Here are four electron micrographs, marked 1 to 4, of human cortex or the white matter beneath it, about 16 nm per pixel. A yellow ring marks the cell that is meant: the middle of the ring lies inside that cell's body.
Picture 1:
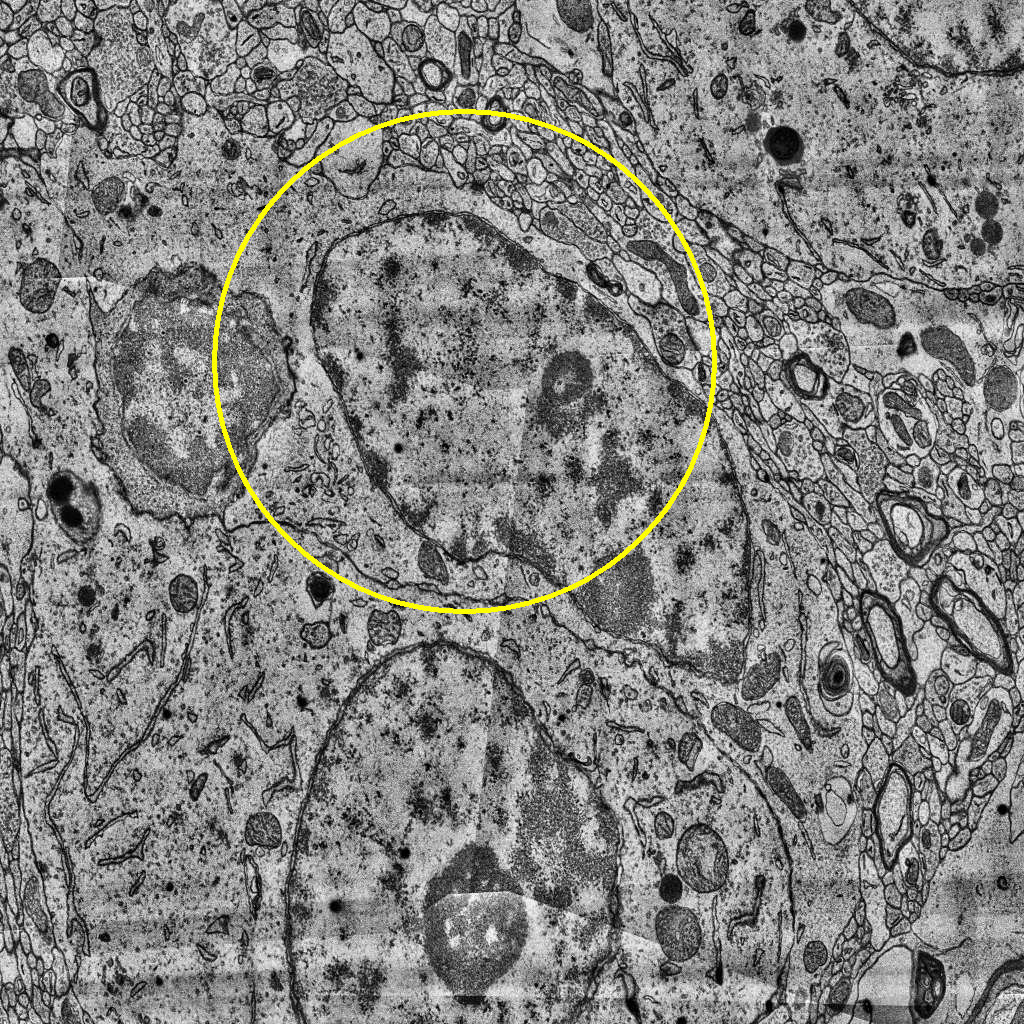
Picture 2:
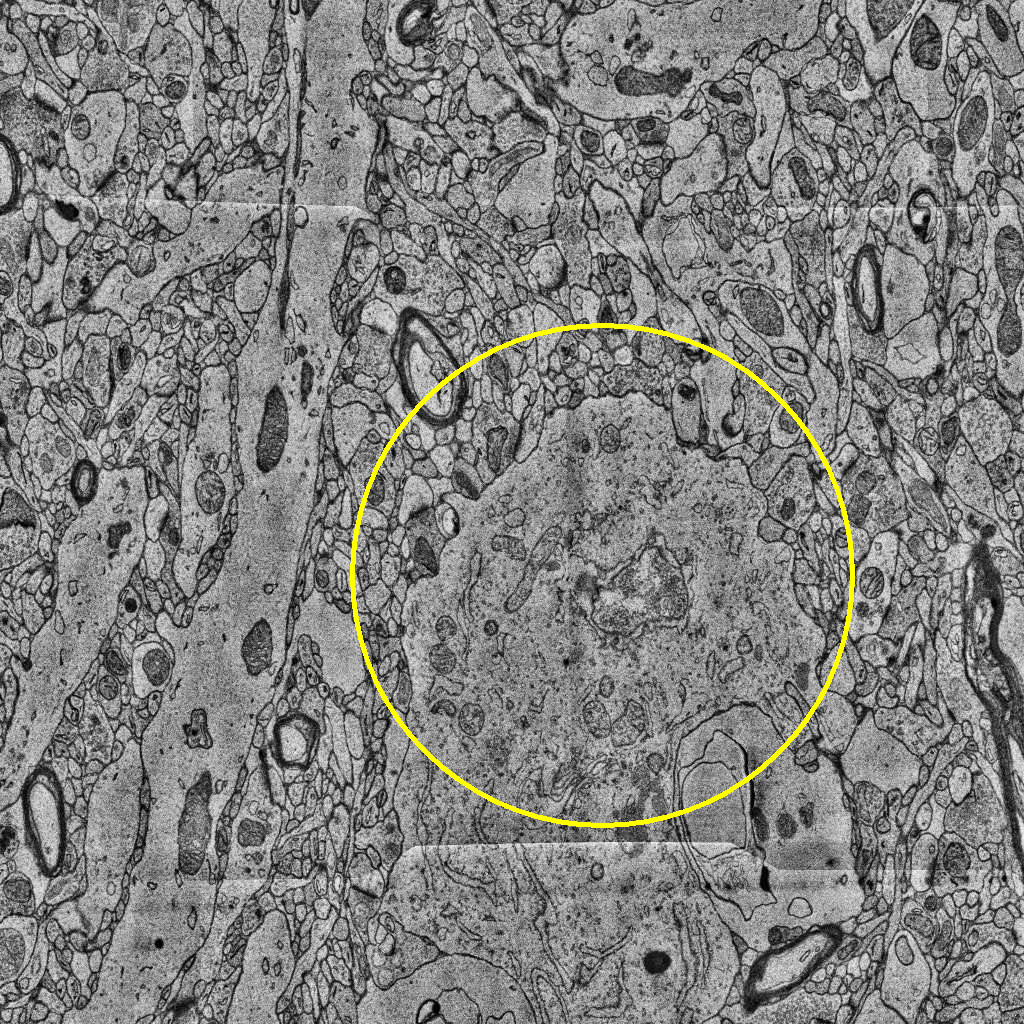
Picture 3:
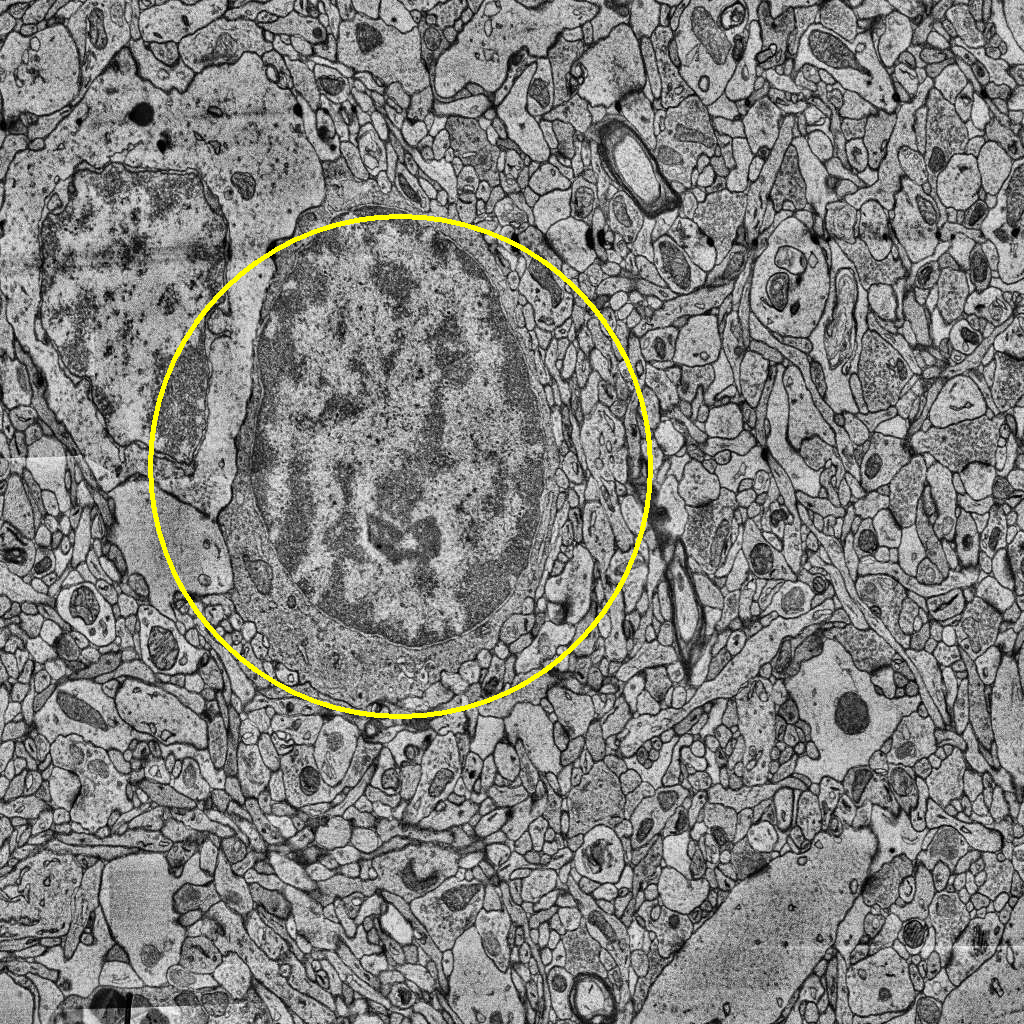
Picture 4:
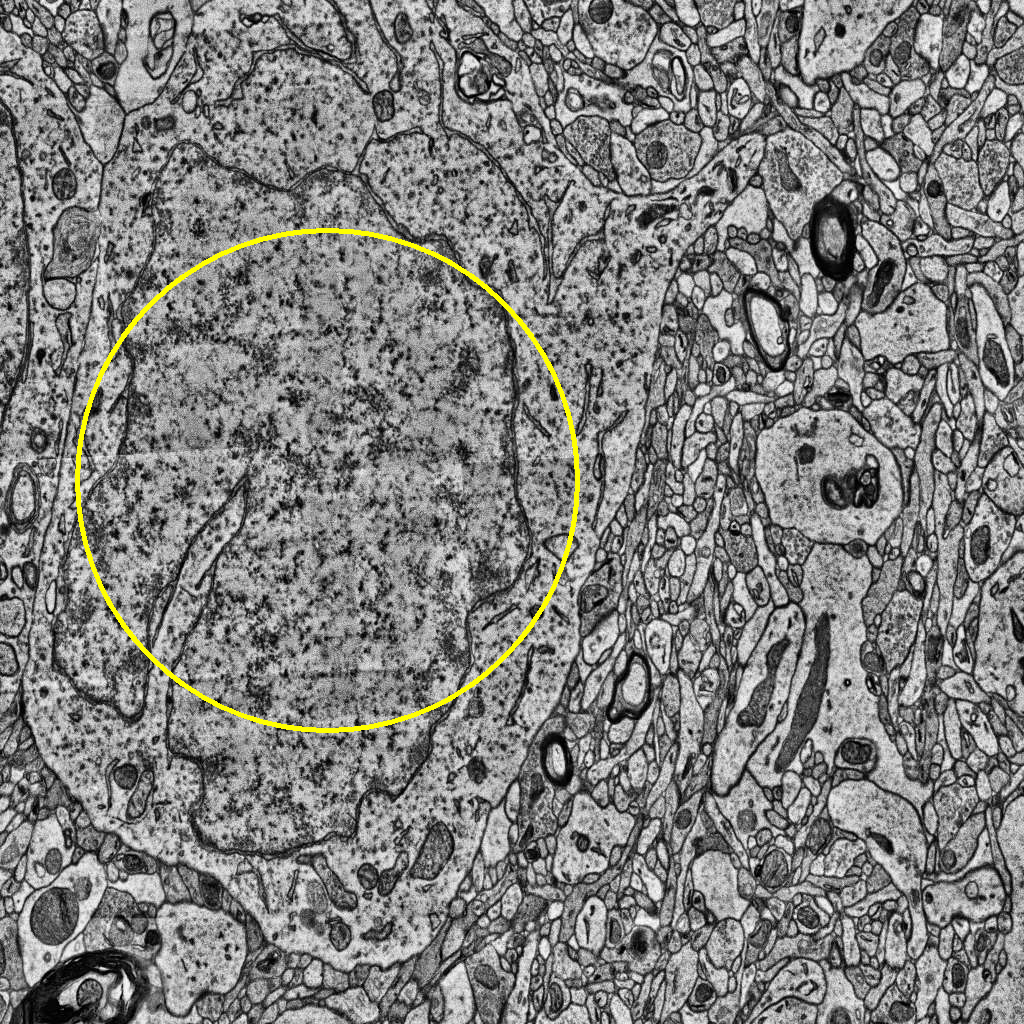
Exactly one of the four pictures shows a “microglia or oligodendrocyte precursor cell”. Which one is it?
The cell in picture 1 is the “microglia or oligodendrocyte precursor cell”.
